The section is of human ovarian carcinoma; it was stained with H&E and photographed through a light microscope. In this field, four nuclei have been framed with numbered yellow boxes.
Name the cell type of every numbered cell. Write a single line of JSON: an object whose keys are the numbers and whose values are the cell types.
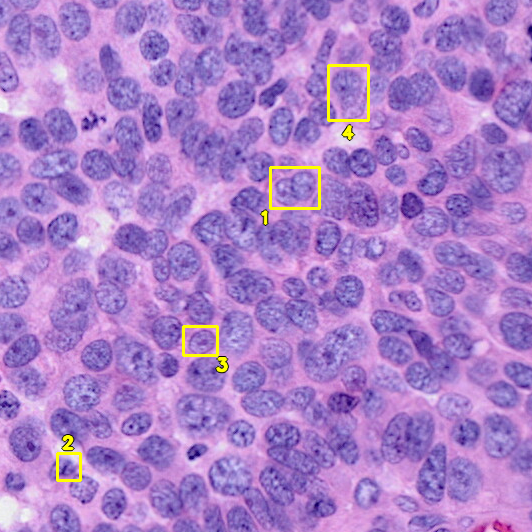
{"1": "carcinoma cell", "2": "macrophage or monocyte", "3": "carcinoma cell", "4": "carcinoma cell"}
